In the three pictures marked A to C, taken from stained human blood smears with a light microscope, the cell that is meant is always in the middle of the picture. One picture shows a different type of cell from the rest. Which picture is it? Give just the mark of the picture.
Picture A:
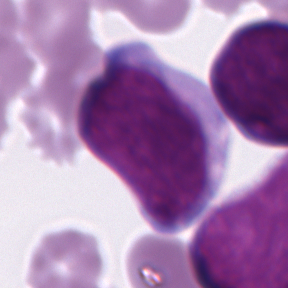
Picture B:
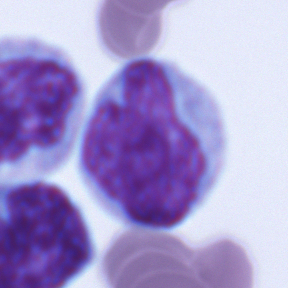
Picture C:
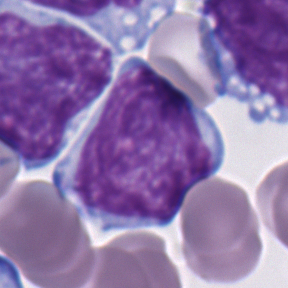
B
